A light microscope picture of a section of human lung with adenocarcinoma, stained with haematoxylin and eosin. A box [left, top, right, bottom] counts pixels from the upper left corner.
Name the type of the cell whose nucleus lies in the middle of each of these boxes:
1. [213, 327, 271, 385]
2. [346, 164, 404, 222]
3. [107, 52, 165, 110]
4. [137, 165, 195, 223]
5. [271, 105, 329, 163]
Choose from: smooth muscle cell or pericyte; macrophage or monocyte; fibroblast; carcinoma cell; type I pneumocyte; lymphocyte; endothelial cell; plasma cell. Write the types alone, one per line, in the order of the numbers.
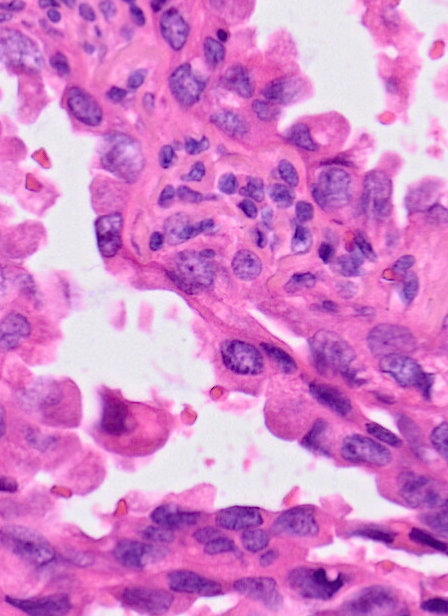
carcinoma cell
carcinoma cell
lymphocyte
lymphocyte
carcinoma cell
